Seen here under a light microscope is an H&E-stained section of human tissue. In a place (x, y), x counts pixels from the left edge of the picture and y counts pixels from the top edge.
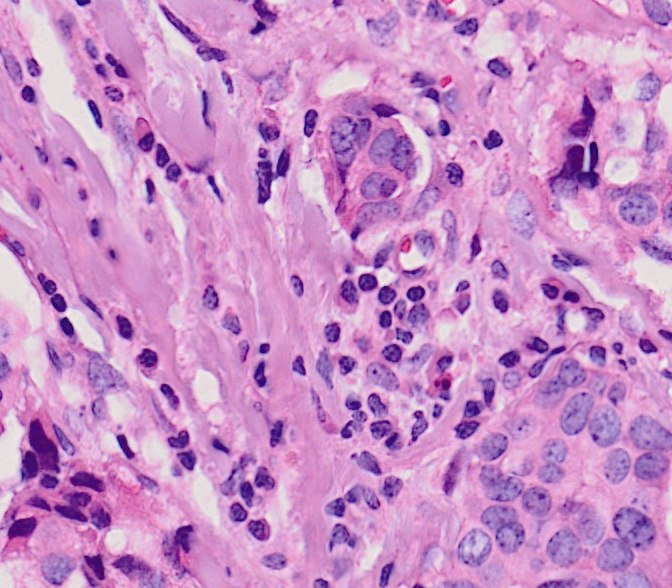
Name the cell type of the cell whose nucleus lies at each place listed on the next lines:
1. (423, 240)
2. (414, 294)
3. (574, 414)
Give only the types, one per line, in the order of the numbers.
endothelial cell
lymphocyte
carcinoma cell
